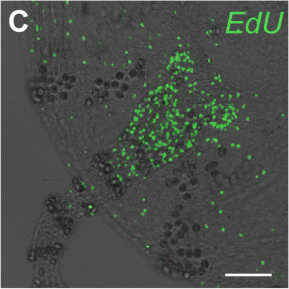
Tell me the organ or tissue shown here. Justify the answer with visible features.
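A flattened wedge-shaped structure is densely filled with green nuclei. A tentacle with rings of round dark capsules extends from its end.
Pedalia.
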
